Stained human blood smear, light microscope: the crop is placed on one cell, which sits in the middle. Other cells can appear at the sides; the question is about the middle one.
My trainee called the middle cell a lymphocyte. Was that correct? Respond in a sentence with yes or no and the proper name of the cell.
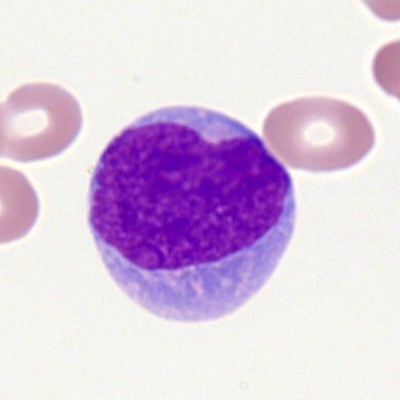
No, the centrally located cell is a blast rather than a lymphocyte.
